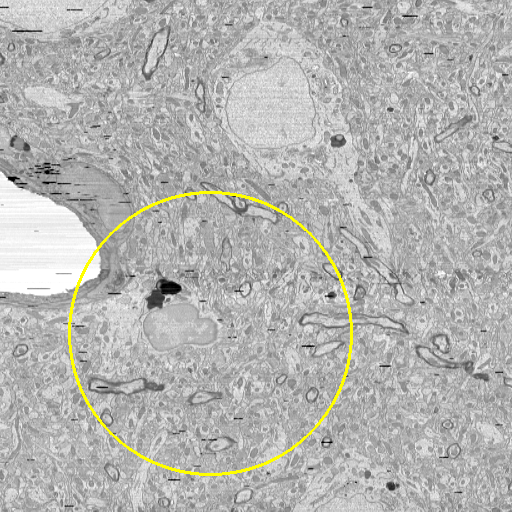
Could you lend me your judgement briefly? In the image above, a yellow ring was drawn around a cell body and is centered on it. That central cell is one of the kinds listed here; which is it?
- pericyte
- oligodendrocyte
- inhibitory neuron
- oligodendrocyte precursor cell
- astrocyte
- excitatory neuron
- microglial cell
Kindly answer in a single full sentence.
Going by the list, a microglial cell is the kind at the ring's center in the picture.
